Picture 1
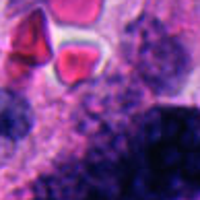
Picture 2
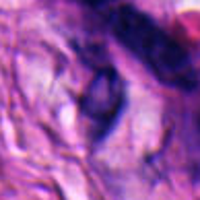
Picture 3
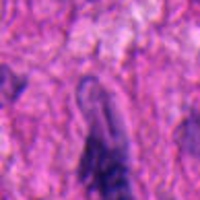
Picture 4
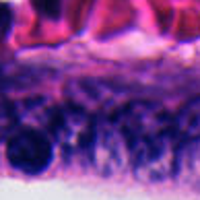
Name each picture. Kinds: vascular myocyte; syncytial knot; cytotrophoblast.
(1) cytotrophoblast
(2) cytotrophoblast
(3) vascular myocyte
(4) syncytial knot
